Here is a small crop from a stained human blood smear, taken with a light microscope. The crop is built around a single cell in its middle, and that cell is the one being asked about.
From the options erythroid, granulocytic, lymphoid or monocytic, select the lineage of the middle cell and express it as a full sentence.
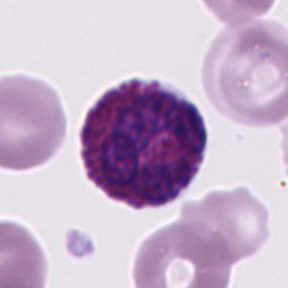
Belonging to the granulocytic lineage is the cell positioned in the middle.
